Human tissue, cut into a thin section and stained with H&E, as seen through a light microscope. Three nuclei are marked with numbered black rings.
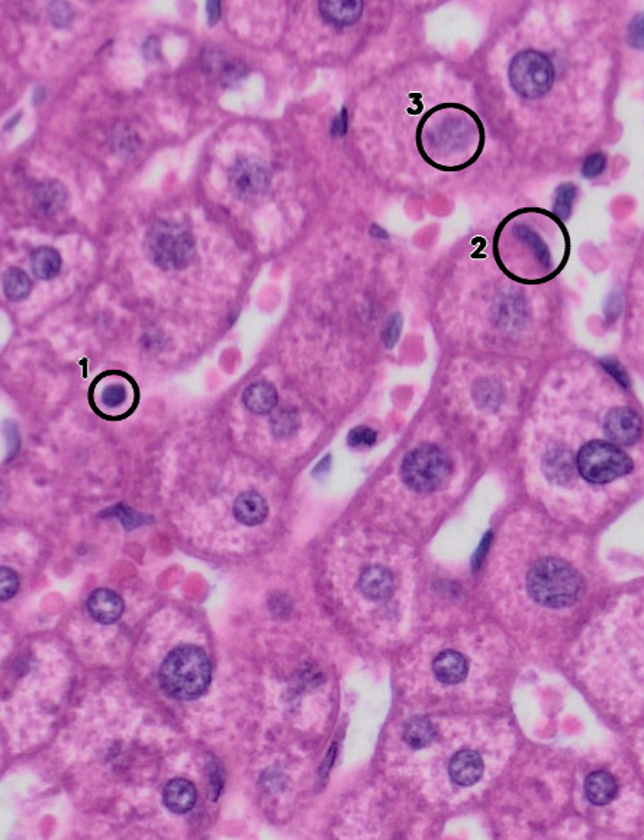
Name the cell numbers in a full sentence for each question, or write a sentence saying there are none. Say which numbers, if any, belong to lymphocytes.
Of all the numbered cells, only one is a lymphocyte, and that is cell 1.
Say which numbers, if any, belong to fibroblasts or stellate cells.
Cell 2 is the only numbered cell that is a fibroblast or stellate cell.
